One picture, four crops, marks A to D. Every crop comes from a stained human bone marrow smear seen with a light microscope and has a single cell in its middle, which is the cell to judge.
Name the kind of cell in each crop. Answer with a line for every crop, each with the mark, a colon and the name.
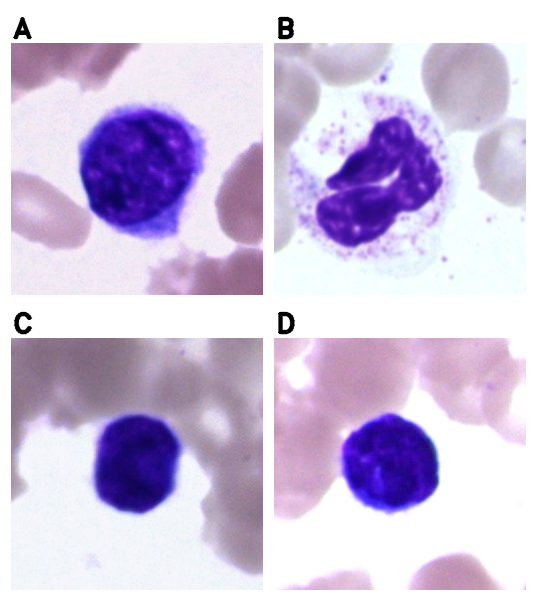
A: hairy cell
B: segmented neutrophil
C: lymphocyte
D: lymphocyte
